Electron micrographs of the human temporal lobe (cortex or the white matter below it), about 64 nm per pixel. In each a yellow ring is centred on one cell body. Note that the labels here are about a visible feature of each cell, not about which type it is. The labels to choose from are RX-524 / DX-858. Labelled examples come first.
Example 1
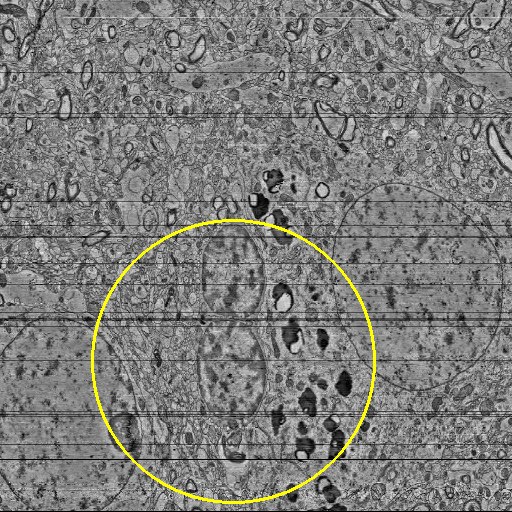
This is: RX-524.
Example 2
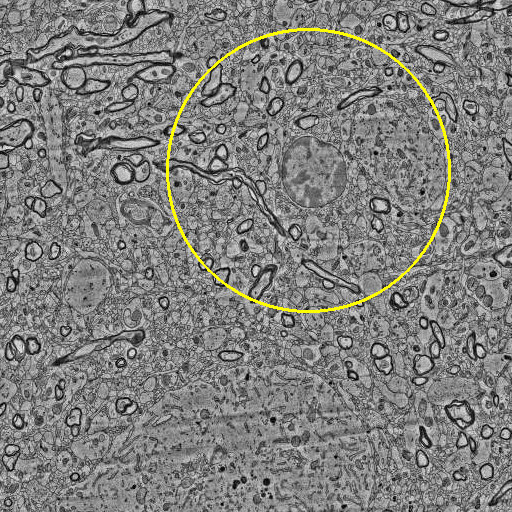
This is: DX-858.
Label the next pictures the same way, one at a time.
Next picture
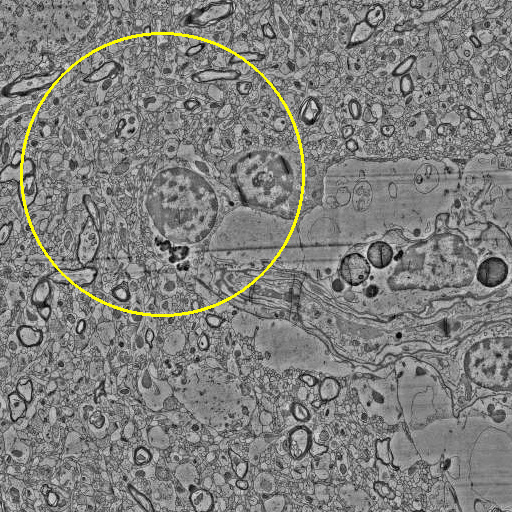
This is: DX-858.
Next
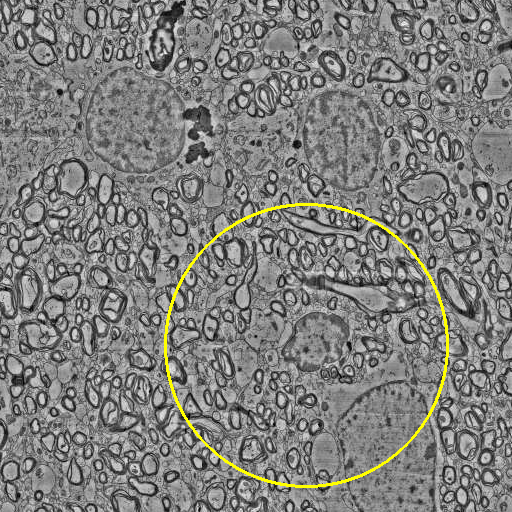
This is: DX-858.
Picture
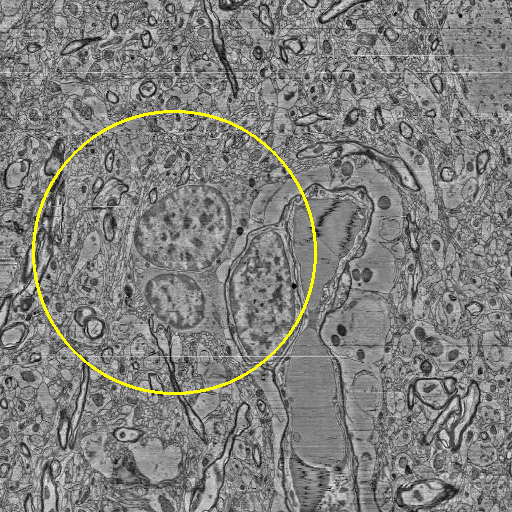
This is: DX-858.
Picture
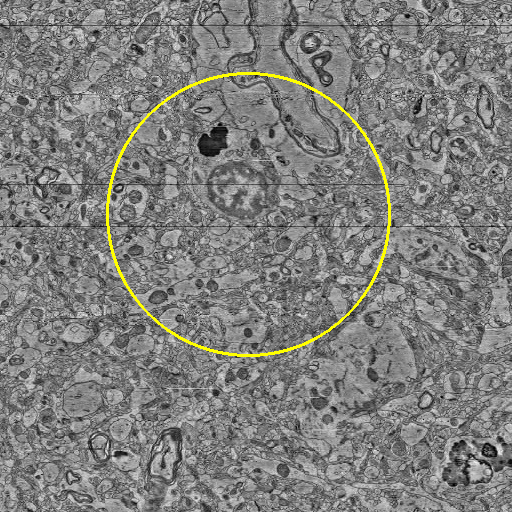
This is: DX-858.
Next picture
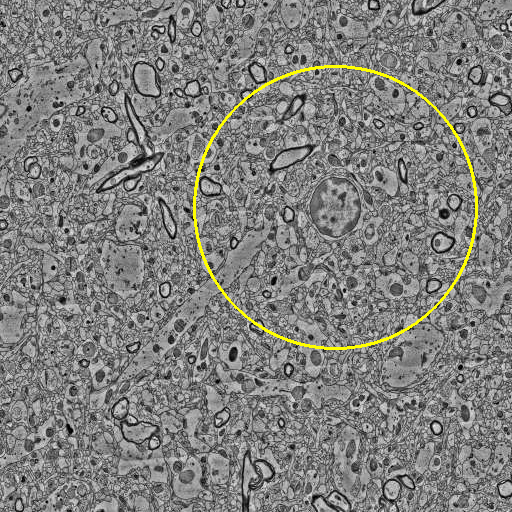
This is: DX-858.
